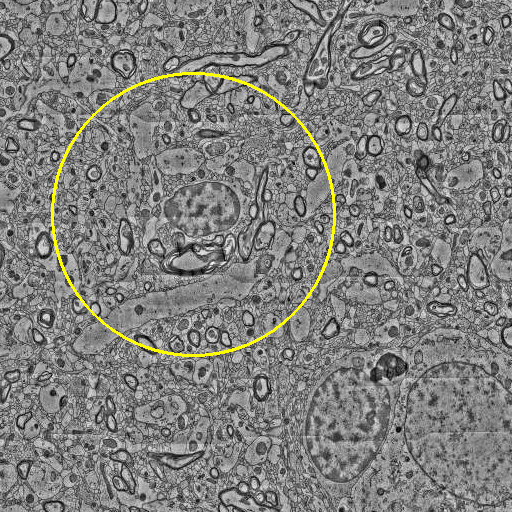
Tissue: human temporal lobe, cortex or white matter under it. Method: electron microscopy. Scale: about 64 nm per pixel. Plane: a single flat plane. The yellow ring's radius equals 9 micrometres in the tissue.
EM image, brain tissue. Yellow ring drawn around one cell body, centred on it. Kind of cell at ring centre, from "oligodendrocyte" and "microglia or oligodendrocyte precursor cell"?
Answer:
microglia or oligodendrocyte precursor cell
